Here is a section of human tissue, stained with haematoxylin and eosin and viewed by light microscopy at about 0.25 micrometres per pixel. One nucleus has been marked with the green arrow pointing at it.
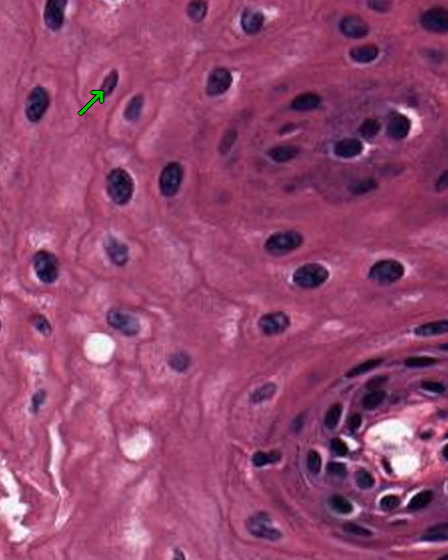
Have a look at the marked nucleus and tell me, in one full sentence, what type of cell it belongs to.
The marked nucleus is identified as belonging to a squamous epithelial cell.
